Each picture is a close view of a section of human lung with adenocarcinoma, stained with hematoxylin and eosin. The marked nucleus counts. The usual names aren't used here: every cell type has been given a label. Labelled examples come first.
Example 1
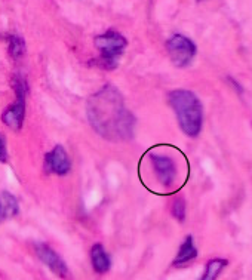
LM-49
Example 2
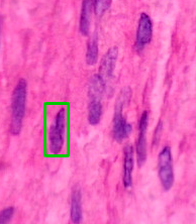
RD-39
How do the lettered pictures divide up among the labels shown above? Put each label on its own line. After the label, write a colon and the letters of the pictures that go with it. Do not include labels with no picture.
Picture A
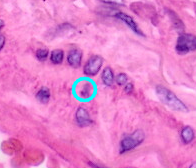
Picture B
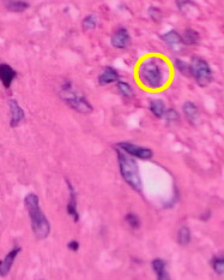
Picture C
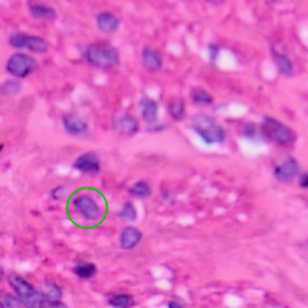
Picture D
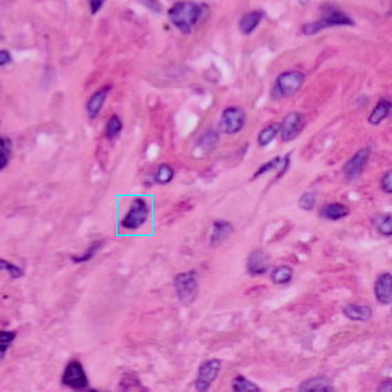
LM-49: D
RD-39: A, B, C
